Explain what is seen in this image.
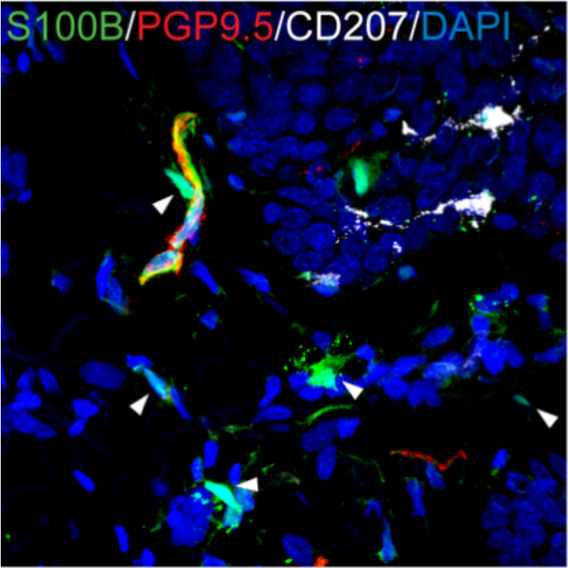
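At higher magnification the lower epidermis and upper dermis show scattered green Schwann cells in the dermis. One is closely applied to a red nerve fibre, while several others sit alone among dermal nuclei without a red fibre beside them. Branched white cells lie in the epidermis above.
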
